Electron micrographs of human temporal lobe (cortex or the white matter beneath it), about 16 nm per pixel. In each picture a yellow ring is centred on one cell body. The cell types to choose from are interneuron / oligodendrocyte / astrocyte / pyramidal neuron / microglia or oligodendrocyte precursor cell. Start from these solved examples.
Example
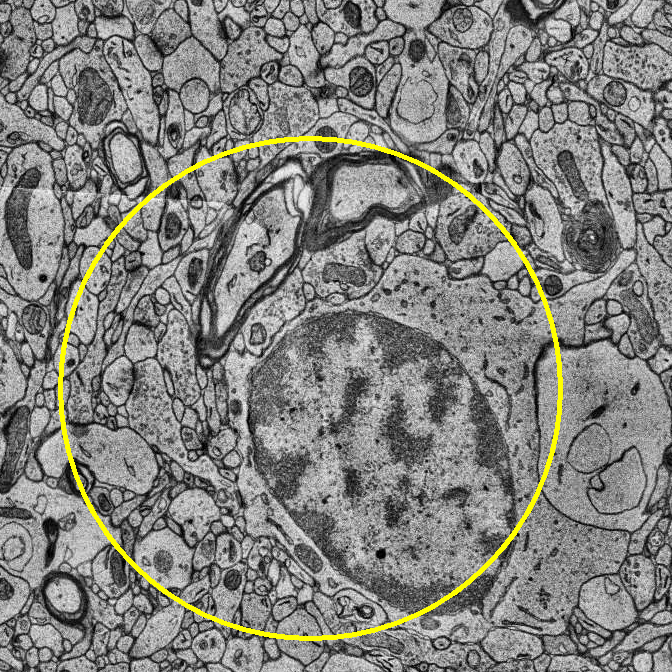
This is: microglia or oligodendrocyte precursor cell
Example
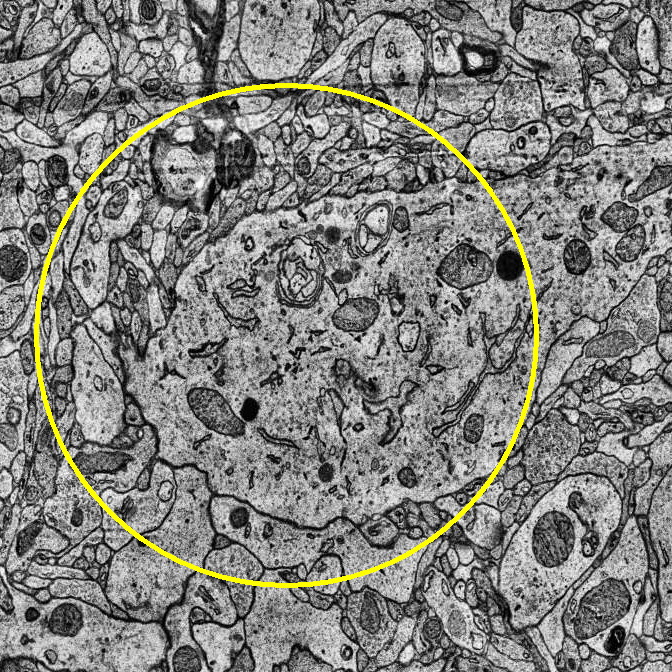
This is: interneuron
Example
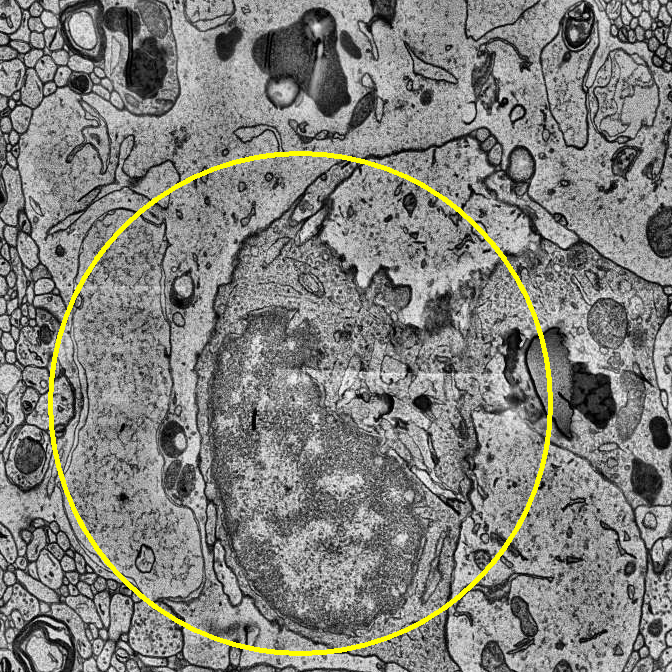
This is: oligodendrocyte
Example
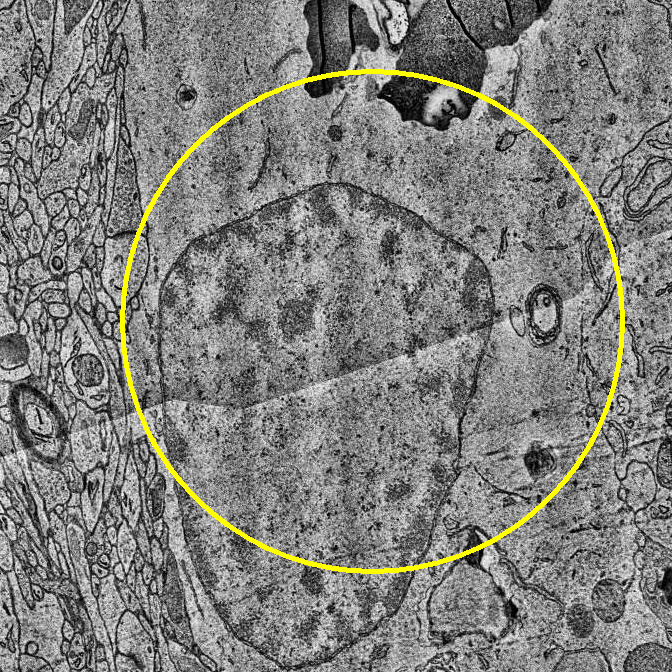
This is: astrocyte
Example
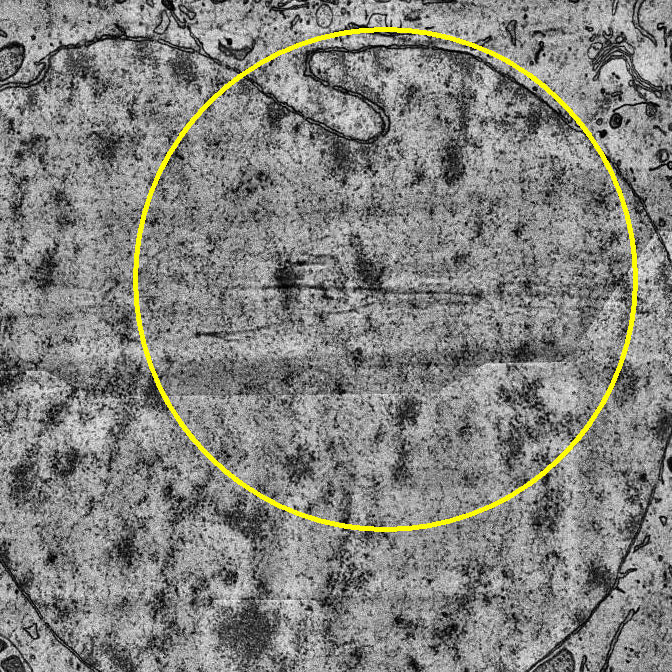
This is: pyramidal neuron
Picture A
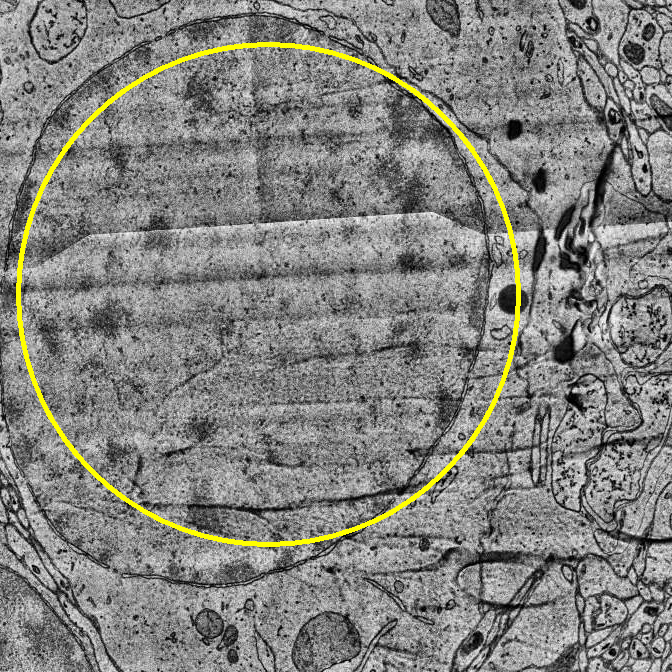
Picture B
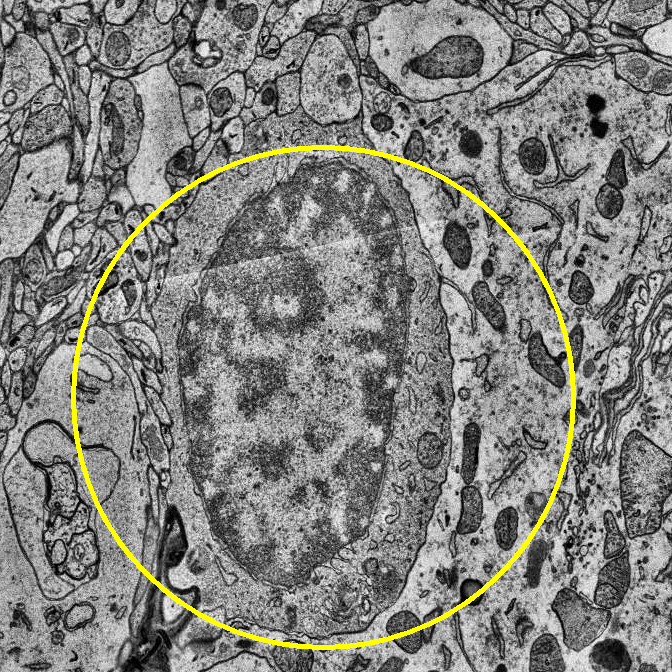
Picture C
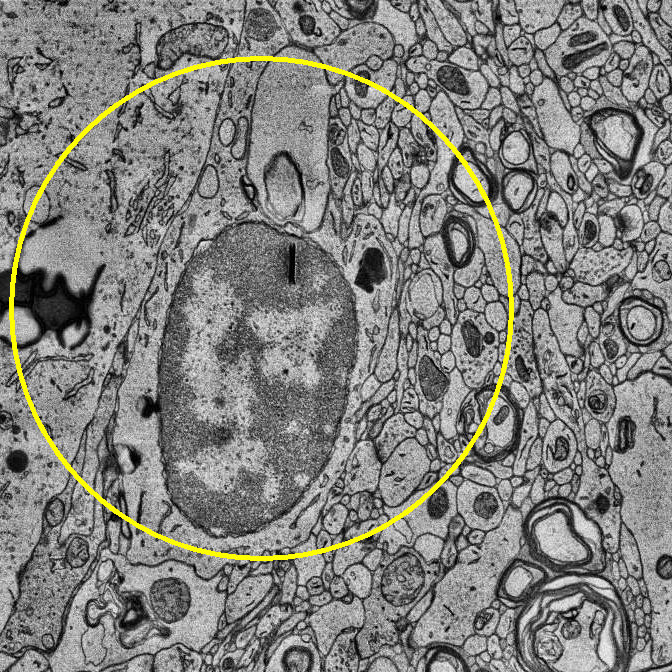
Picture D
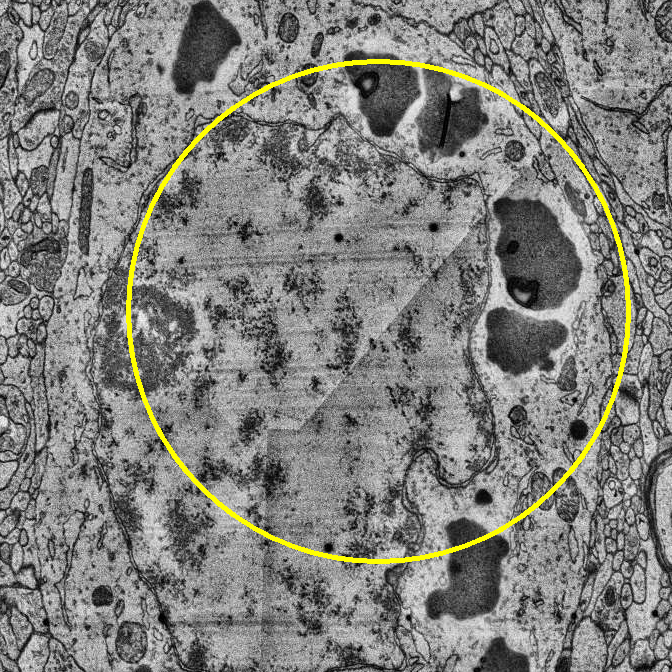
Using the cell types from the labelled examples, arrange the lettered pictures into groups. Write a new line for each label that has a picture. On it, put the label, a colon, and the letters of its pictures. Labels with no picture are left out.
interneuron: D
oligodendrocyte: B
astrocyte: A
microglia or oligodendrocyte precursor cell: C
